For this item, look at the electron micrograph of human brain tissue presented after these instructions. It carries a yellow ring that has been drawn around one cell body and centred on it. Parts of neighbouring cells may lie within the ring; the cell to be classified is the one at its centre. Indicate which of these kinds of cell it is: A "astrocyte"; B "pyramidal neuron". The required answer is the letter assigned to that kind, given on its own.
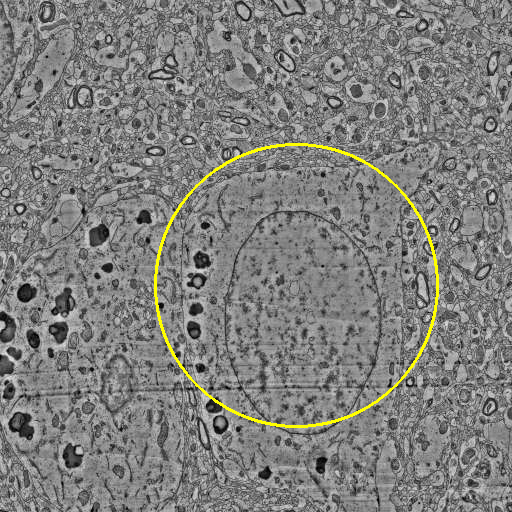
B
